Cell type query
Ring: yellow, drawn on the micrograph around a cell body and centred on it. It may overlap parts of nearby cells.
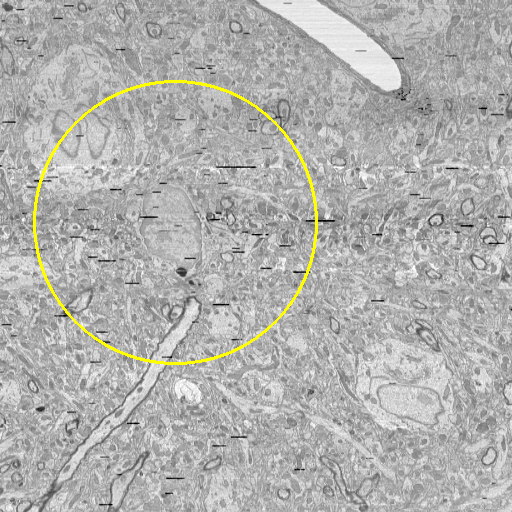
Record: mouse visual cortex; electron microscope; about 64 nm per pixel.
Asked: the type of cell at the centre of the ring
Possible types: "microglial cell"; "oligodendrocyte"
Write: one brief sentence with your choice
The ring marks a microglial cell.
